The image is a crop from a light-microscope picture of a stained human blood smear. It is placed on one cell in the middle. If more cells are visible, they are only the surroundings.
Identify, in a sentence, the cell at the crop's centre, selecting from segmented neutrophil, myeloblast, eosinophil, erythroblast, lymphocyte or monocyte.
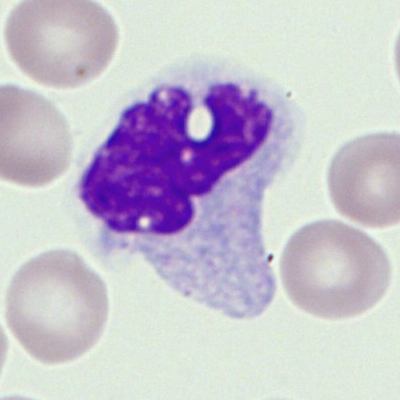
The cell centered in this field of view is a monocyte.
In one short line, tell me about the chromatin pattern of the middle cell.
The chromatin remains finely textured, with no coarse clumps to speak of.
